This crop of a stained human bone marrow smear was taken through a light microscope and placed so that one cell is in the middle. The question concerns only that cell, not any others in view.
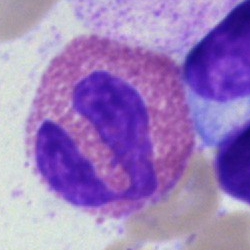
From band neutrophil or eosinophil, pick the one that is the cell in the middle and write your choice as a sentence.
At the center of the crop sits an eosinophil.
